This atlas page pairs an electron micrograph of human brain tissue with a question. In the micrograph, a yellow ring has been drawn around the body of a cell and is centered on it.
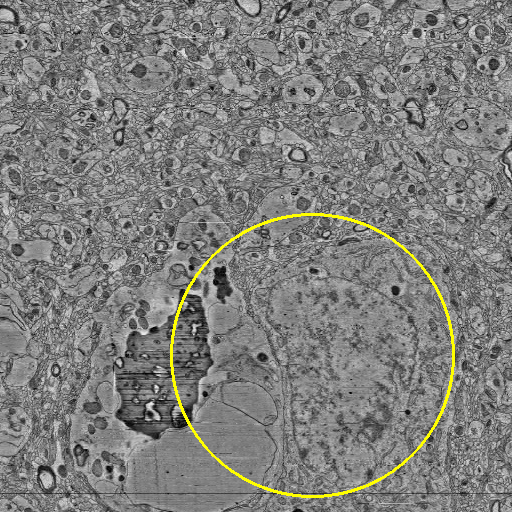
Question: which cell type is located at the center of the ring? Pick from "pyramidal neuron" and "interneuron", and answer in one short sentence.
Located at the center of the ring is an interneuron.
